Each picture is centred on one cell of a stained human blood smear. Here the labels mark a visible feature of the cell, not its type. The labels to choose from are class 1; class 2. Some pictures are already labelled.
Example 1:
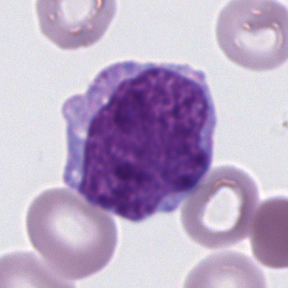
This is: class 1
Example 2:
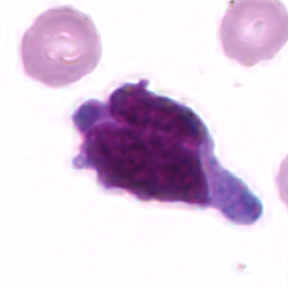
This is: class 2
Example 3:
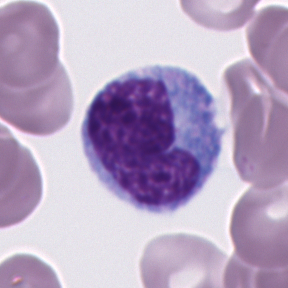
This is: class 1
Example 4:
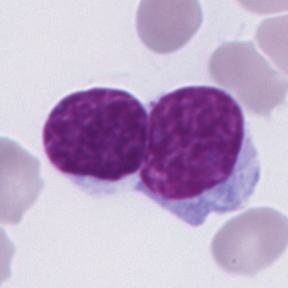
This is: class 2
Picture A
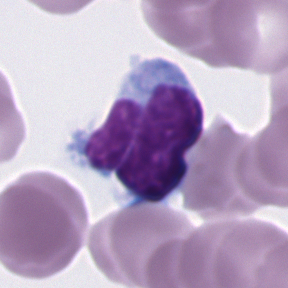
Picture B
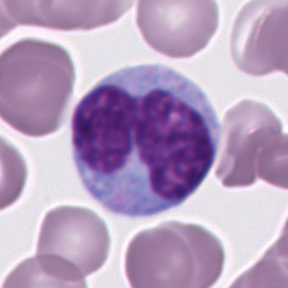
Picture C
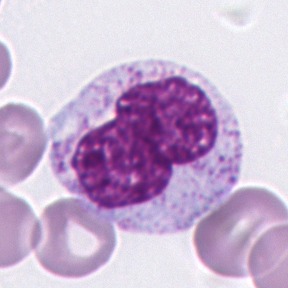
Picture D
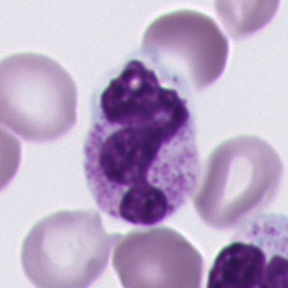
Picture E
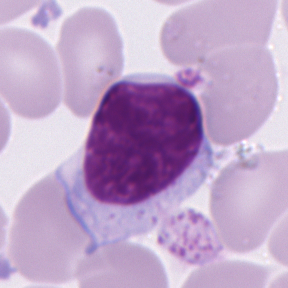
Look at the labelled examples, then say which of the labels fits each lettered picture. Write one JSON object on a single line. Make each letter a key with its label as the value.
{"A": "class 2", "B": "class 2", "C": "class 2", "D": "class 2", "E": "class 1"}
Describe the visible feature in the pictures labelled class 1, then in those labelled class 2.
class 1, single compact nucleus; class 2, lobed nucleus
